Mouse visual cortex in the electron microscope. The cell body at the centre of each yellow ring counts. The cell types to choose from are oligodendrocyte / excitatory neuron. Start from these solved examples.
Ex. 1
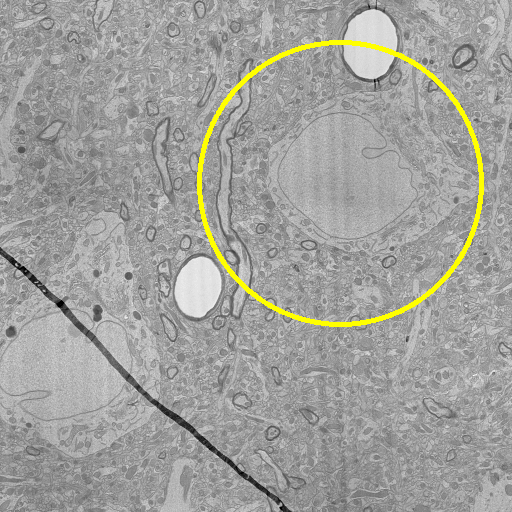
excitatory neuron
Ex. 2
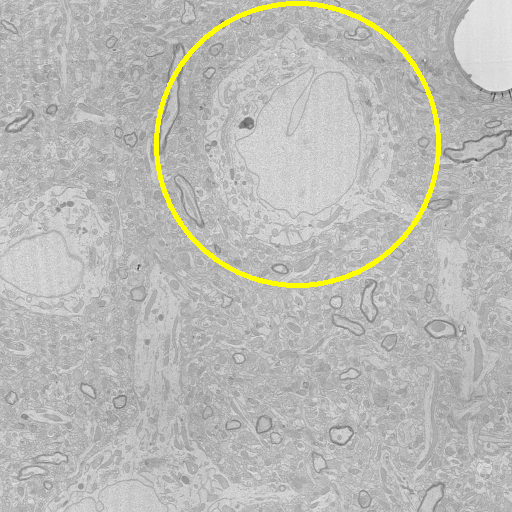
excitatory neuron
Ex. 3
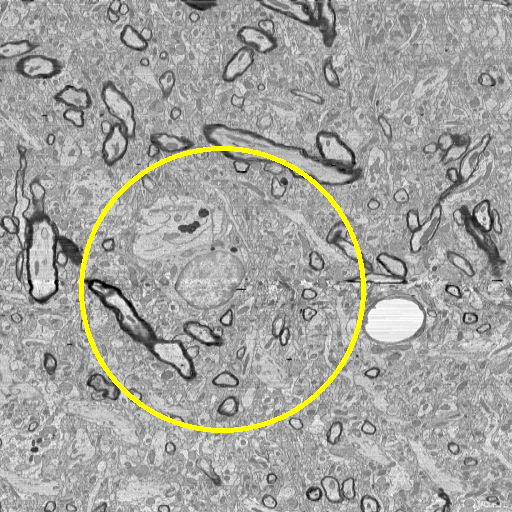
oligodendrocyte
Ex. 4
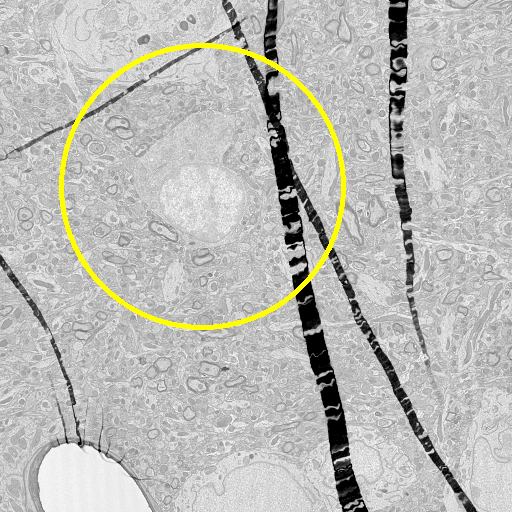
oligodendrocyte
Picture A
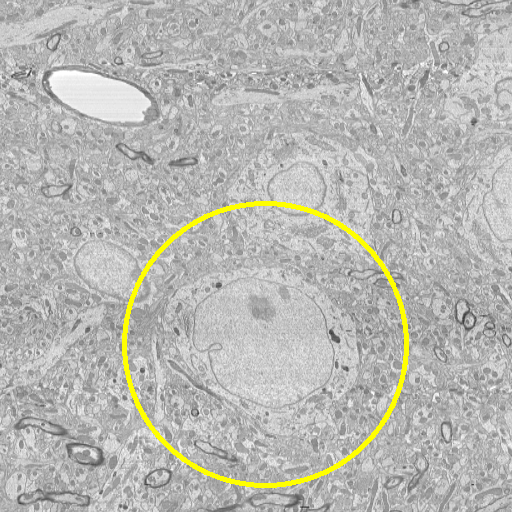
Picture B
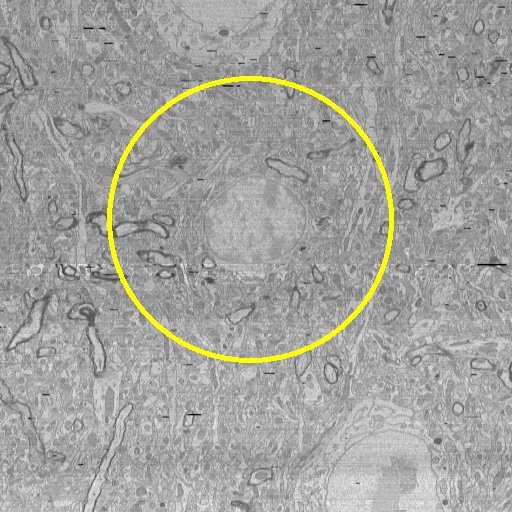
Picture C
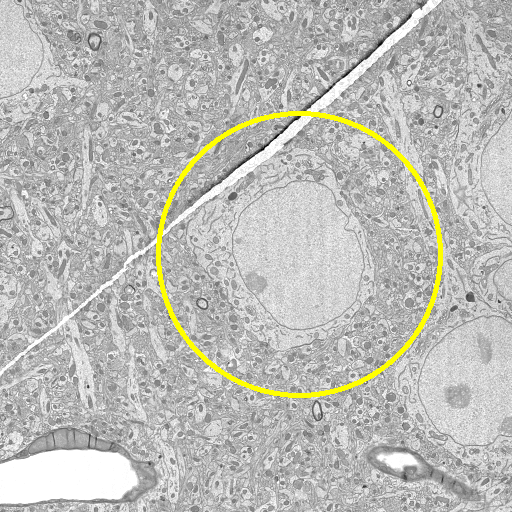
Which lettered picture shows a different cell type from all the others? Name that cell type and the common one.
Exception: B, showing oligodendrocyte. Remaining pictures: excitatory neuron.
